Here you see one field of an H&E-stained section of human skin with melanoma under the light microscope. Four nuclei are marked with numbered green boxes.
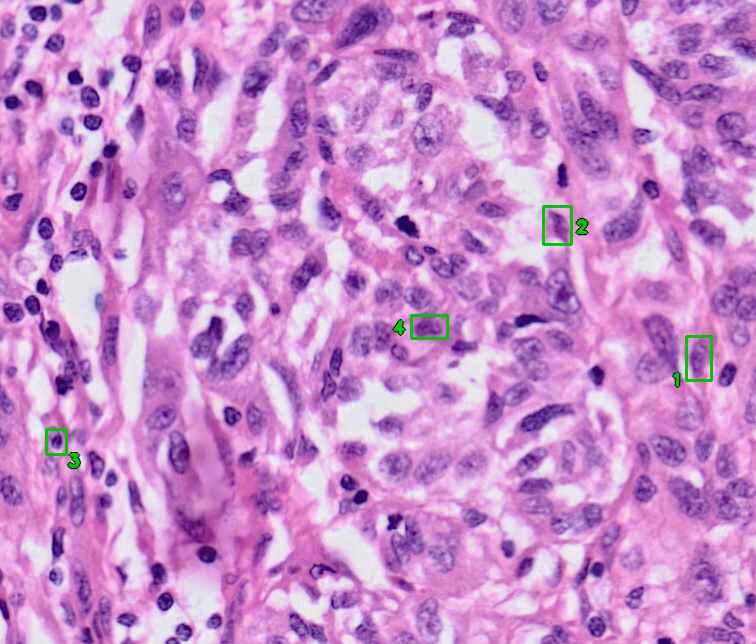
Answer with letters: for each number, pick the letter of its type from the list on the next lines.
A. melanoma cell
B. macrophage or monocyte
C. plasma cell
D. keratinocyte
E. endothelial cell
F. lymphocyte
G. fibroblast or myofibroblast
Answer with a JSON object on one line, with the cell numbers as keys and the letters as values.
{"1": "A", "2": "B", "3": "F", "4": "A"}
